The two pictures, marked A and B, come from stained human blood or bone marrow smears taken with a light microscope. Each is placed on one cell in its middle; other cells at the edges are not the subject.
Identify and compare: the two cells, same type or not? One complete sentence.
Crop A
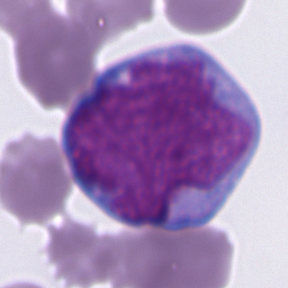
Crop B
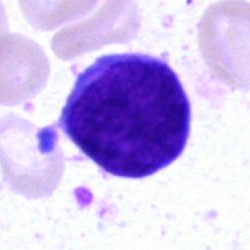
Yes, the central cells, in both crops, are blasts.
